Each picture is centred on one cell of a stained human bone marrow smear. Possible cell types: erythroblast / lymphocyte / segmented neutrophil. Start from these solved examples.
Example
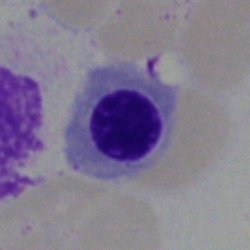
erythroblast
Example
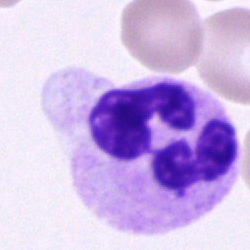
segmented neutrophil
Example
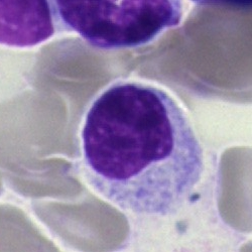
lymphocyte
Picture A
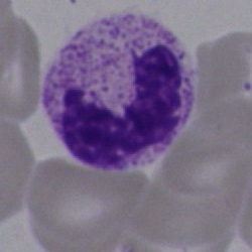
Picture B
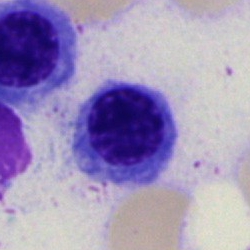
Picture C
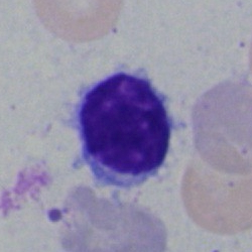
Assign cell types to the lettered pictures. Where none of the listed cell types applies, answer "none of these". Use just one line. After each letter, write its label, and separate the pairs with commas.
A none of these, B erythroblast, C lymphocyte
